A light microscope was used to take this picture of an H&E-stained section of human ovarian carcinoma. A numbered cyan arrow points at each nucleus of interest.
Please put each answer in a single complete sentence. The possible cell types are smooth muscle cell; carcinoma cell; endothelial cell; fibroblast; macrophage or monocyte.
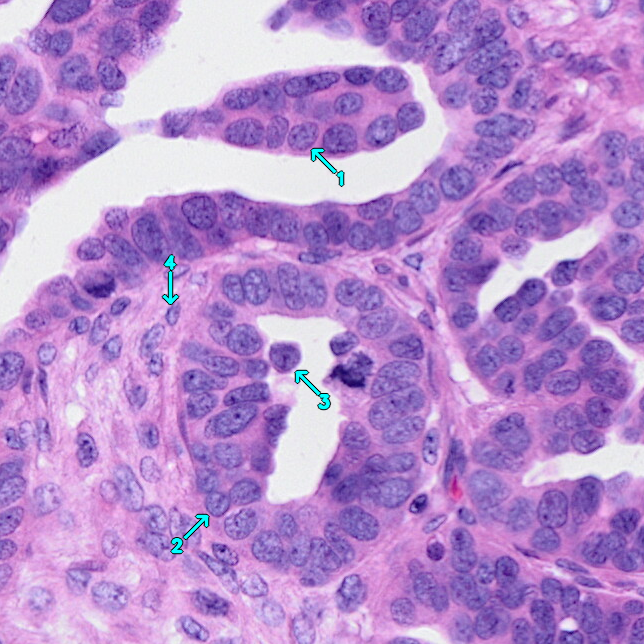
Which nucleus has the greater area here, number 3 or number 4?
The larger nucleus is 3, at roughly 2.5 times the area of 4.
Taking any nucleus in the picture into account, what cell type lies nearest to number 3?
The cell nearest to number 3 is a carcinoma cell.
